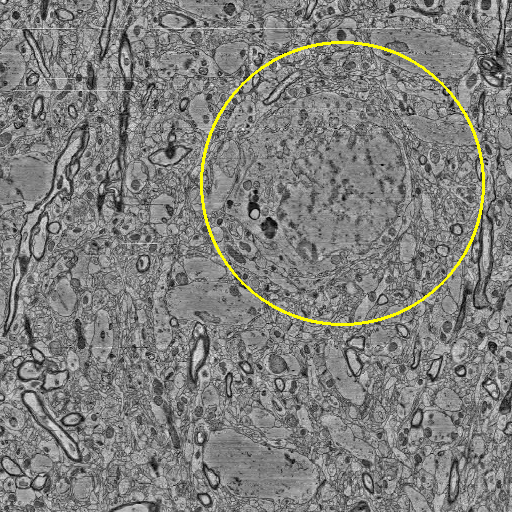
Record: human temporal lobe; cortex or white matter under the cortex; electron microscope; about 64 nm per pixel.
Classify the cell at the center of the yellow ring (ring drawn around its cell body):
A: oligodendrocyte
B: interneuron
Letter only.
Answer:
B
